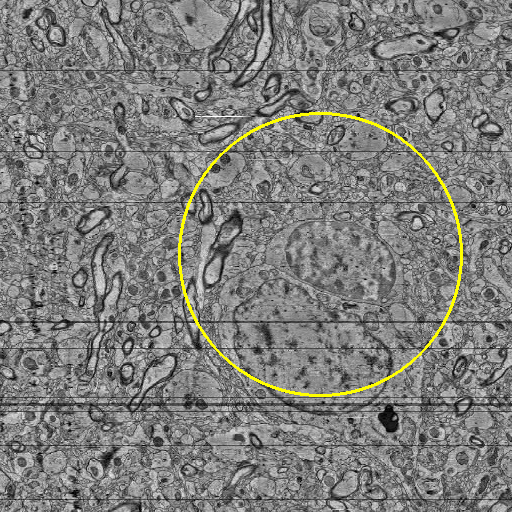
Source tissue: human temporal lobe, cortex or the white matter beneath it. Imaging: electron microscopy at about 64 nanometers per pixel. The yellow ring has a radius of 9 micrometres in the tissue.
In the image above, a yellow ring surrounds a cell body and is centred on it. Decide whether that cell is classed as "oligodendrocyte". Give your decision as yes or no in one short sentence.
Yes, it is classed as that kind.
